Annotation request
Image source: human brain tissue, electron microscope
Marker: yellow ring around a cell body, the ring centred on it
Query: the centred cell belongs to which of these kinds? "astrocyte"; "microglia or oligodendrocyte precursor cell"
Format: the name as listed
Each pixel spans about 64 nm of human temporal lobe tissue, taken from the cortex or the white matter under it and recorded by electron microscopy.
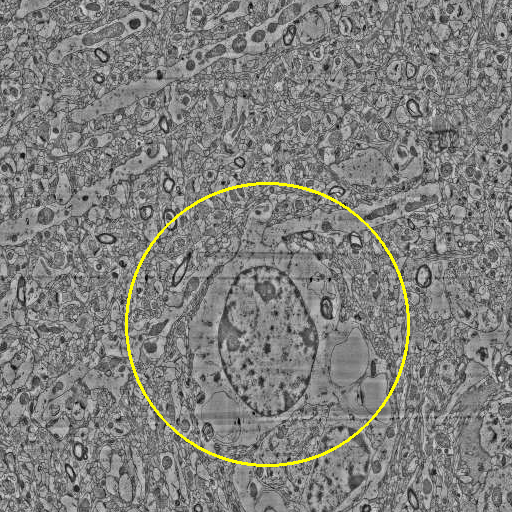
astrocyte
